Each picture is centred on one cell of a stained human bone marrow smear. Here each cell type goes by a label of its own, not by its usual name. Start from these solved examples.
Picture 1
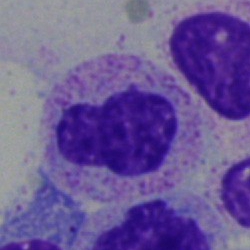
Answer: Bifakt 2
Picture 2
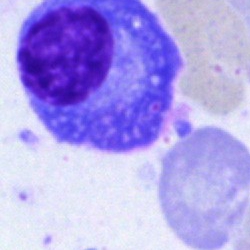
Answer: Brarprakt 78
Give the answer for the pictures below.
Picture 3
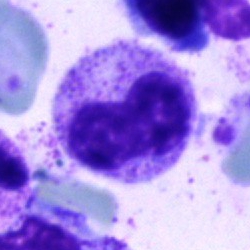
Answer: Bifakt 2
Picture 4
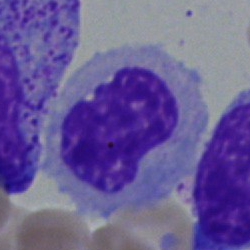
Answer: Bifakt 2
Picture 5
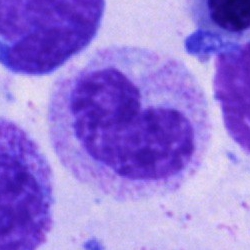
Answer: Bifakt 2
